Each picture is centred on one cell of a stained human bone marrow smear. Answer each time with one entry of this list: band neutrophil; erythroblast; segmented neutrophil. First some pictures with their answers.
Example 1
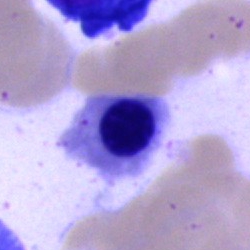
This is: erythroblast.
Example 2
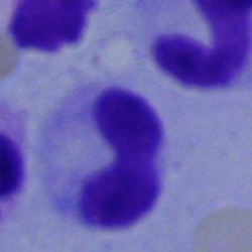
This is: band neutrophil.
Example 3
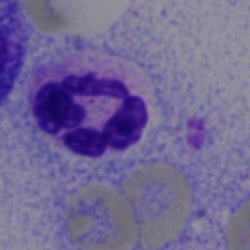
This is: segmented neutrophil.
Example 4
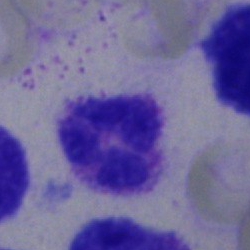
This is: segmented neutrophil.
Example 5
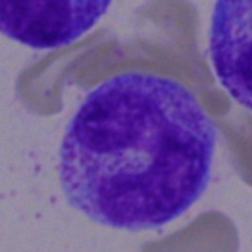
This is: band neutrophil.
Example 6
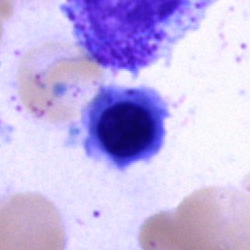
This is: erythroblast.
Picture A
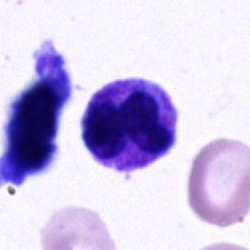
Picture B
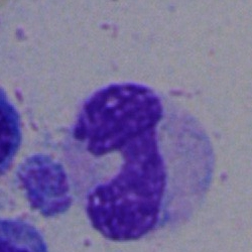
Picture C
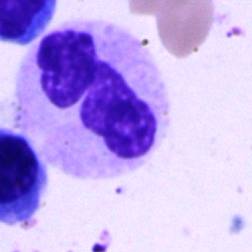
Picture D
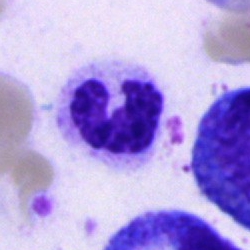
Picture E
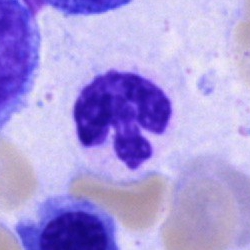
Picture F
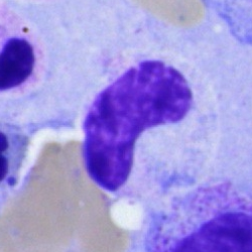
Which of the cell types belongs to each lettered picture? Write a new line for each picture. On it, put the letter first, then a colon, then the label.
A: segmented neutrophil.
B: band neutrophil.
C: segmented neutrophil.
D: segmented neutrophil.
E: segmented neutrophil.
F: band neutrophil.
